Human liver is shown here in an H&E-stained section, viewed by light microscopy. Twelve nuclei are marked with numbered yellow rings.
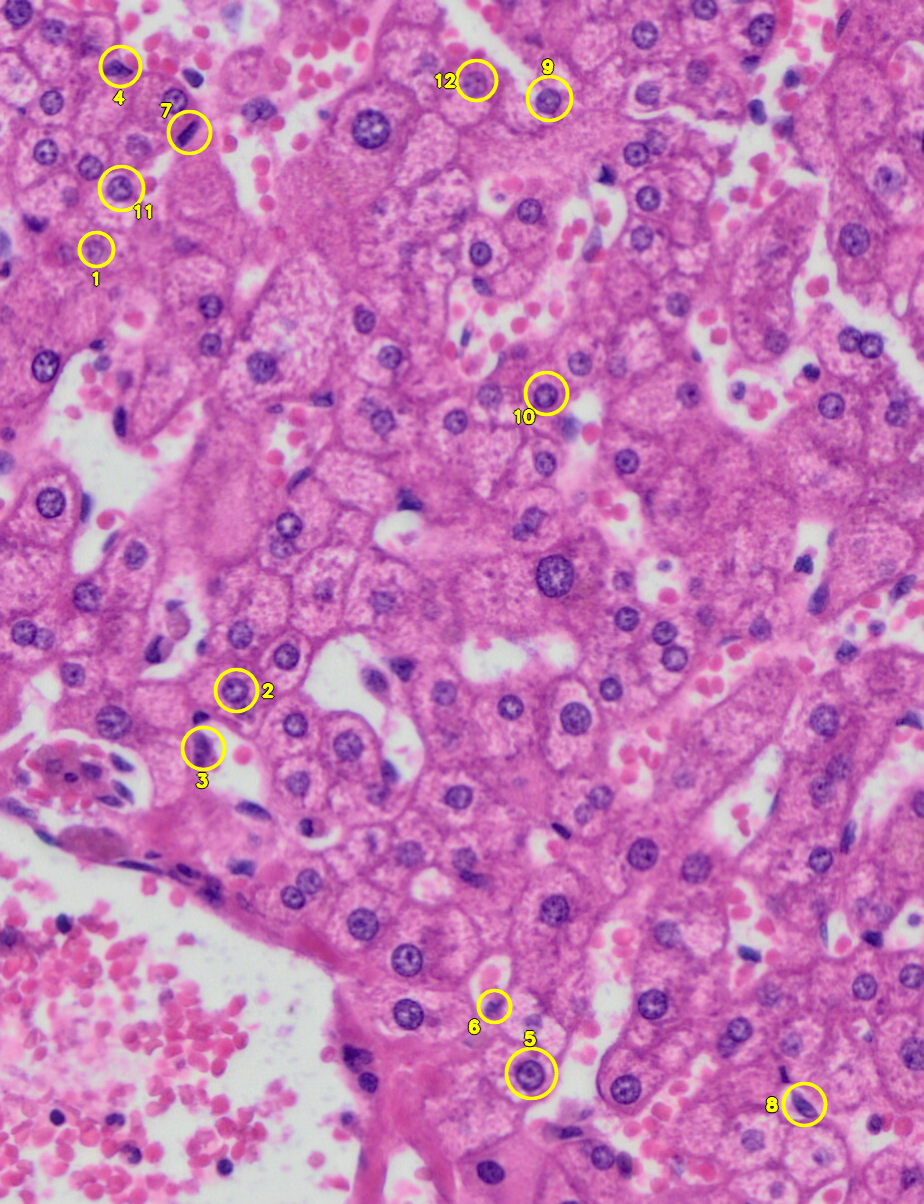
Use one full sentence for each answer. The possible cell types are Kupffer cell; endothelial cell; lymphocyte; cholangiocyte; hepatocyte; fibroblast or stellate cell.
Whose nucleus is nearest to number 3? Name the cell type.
The nucleus nearest to number 3 is that of a fibroblast or stellate cell.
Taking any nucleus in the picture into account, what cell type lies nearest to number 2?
Number 2 lies closest to the nucleus of a hepatocyte.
